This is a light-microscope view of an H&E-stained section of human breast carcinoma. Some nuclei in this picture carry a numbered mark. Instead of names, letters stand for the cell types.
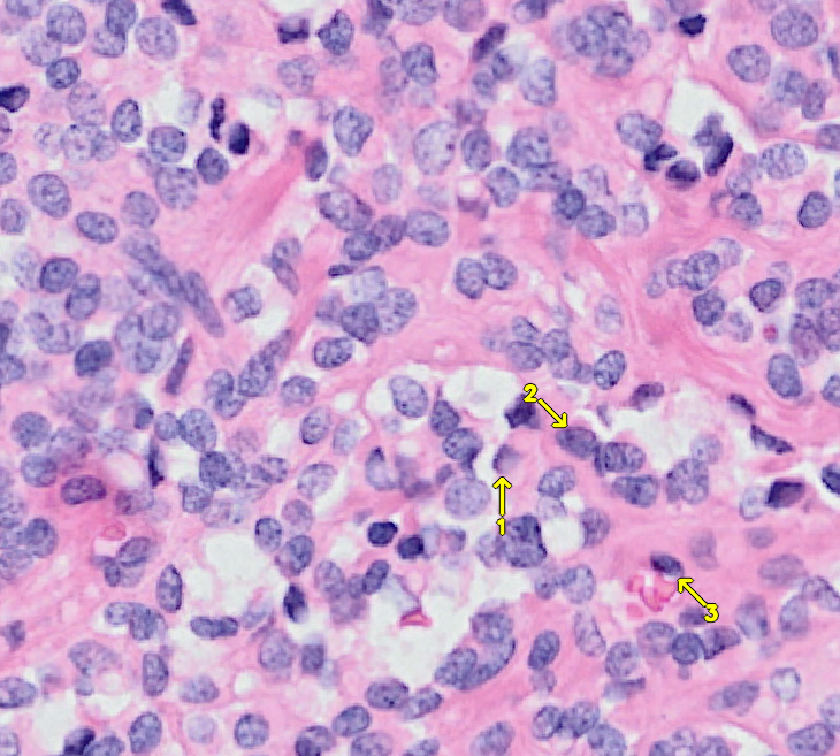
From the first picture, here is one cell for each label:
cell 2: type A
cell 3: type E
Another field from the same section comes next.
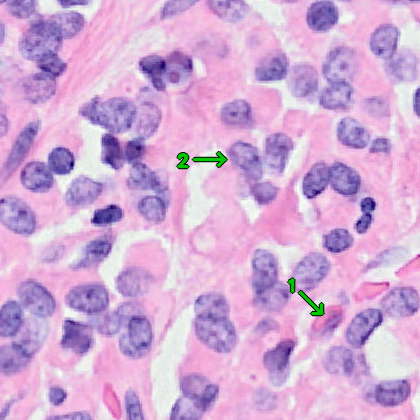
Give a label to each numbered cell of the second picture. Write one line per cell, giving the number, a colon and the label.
1: type E
2: type A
